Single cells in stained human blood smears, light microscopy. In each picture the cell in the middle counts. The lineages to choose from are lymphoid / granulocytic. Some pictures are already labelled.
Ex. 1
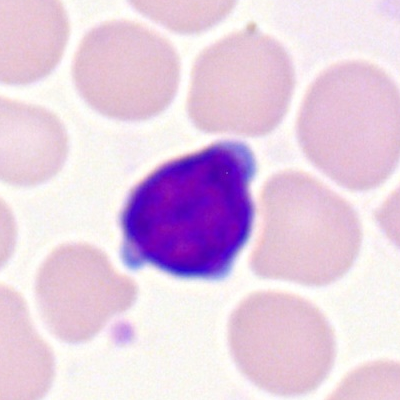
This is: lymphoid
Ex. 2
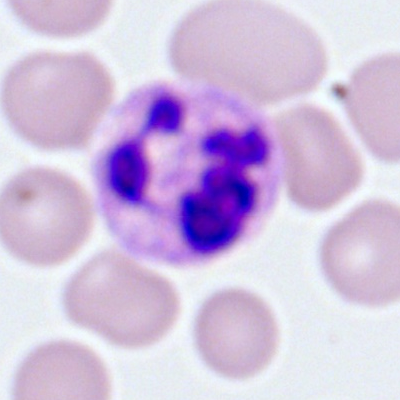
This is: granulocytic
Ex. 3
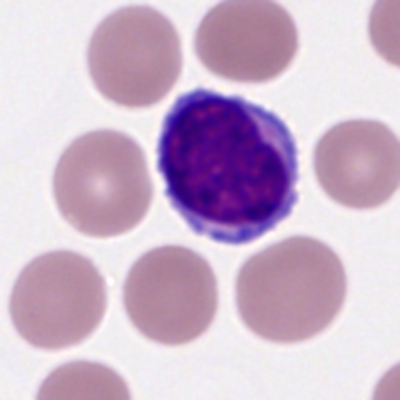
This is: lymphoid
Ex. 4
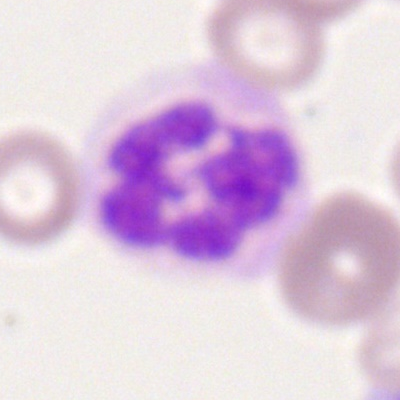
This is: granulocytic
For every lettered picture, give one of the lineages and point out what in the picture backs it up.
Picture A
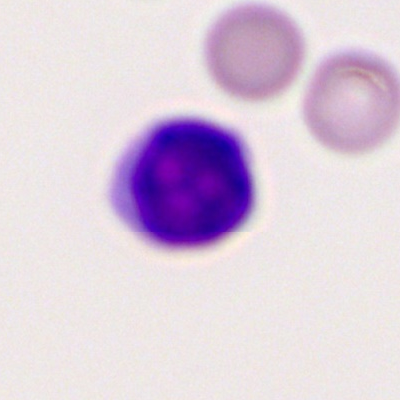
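lymphoid: The nucleus fills most of the cell and has a slightly angular outline.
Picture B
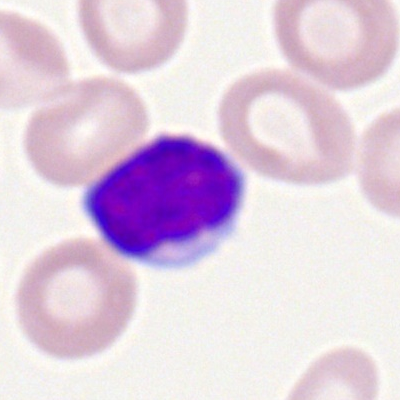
lymphoid: The nucleus fills most of the cell.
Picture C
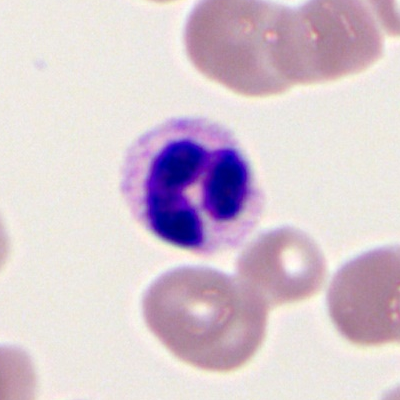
granulocytic: The nucleus is divided into three lobes.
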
